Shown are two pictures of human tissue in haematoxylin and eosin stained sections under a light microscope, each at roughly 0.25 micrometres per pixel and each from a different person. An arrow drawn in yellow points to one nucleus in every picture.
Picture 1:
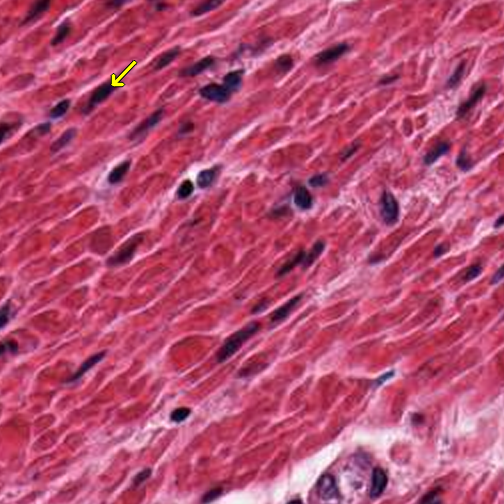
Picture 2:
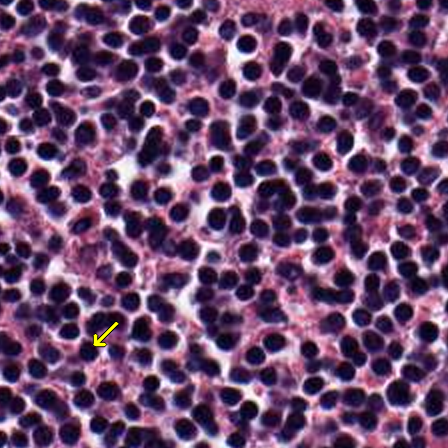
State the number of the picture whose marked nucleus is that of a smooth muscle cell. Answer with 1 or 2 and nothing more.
1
